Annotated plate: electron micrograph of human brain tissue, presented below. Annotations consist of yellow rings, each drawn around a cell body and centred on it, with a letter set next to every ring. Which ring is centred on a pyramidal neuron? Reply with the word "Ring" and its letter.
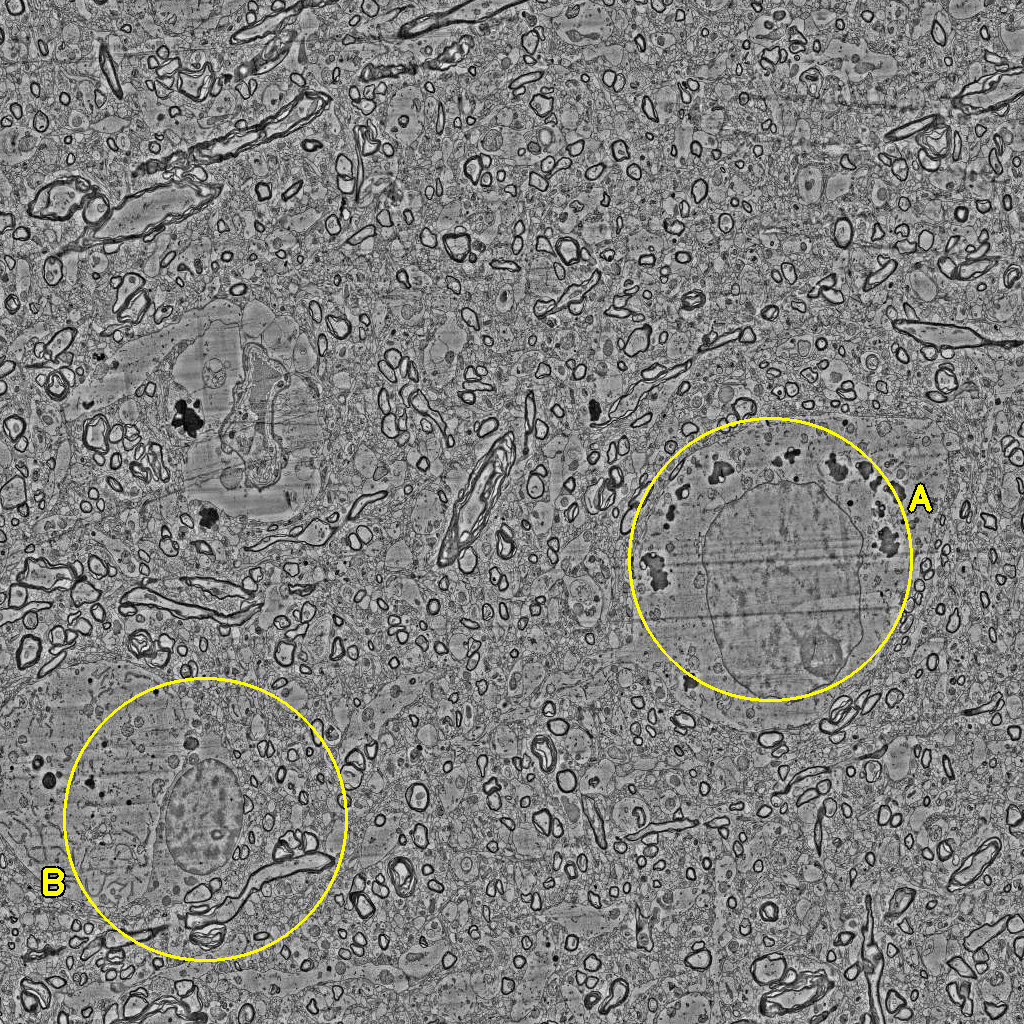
Ring A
